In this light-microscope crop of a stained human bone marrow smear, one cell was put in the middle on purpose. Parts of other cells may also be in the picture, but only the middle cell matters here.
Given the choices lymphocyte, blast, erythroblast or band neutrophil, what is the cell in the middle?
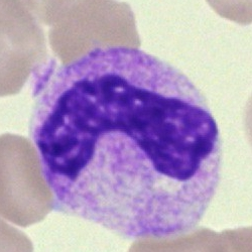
band neutrophil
